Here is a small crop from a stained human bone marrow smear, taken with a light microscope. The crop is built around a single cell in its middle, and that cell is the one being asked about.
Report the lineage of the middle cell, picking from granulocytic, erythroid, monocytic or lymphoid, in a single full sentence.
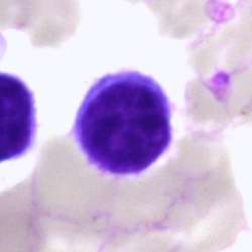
By lineage, the cell in the middle of the crop is lymphoid.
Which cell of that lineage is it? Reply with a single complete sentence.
The crop's centre is taken up by a lymphocyte.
